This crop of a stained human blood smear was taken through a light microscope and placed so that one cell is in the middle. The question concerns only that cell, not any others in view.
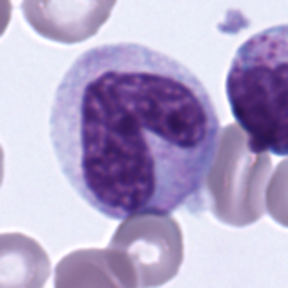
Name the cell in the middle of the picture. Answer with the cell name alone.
band neutrophil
